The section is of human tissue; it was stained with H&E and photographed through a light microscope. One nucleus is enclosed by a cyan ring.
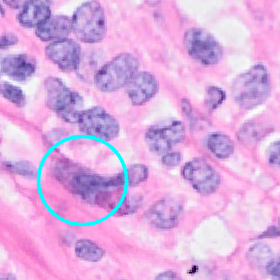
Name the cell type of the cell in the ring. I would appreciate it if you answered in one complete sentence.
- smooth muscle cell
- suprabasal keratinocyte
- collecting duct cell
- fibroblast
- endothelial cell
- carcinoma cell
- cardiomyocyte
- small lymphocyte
Placed in its cell category, the cell in the ring is an endothelial cell.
